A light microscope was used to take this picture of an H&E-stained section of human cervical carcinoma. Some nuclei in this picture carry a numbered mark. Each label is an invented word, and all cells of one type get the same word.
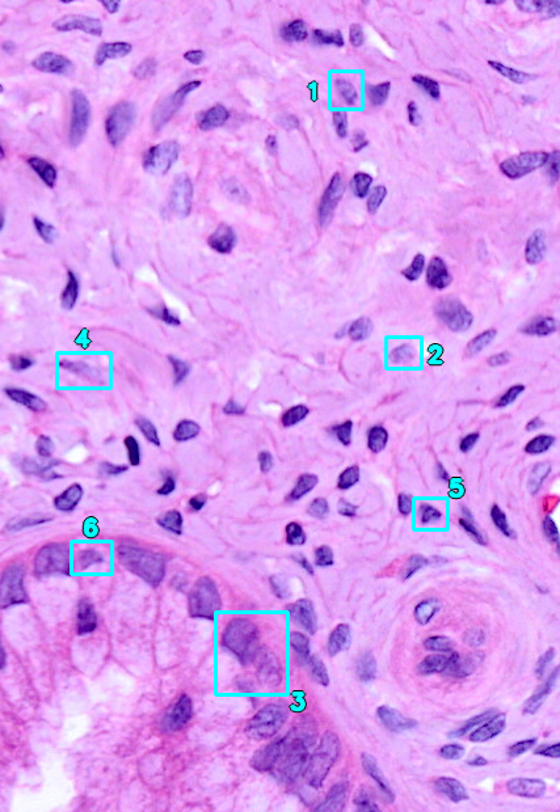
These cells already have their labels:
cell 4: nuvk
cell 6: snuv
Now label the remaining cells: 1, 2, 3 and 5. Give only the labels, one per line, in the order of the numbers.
nuvk
nuvk
snuv
nuvk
